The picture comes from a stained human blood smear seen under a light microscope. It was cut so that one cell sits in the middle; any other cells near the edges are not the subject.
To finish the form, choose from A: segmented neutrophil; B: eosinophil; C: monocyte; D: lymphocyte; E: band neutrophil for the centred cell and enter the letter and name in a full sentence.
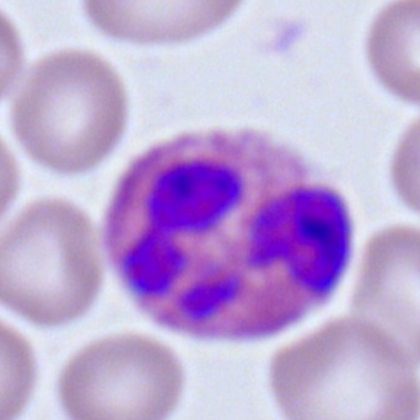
Option B is the right one, for the cell in the middle is an eosinophil.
